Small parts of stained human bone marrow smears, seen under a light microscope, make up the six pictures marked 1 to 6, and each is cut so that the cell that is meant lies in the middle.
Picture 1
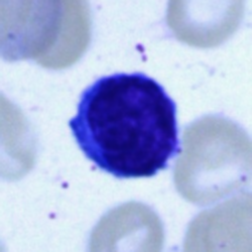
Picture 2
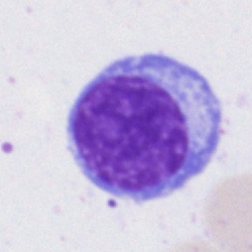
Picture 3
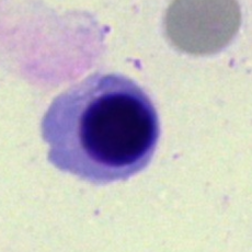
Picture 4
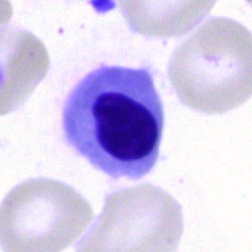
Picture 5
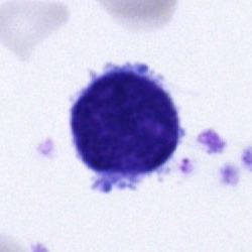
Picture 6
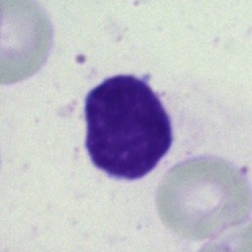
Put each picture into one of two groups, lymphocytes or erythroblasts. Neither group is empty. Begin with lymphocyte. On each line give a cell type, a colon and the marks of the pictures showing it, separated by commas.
lymphocyte: 1, 2, 5, 6
erythroblast: 3, 4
